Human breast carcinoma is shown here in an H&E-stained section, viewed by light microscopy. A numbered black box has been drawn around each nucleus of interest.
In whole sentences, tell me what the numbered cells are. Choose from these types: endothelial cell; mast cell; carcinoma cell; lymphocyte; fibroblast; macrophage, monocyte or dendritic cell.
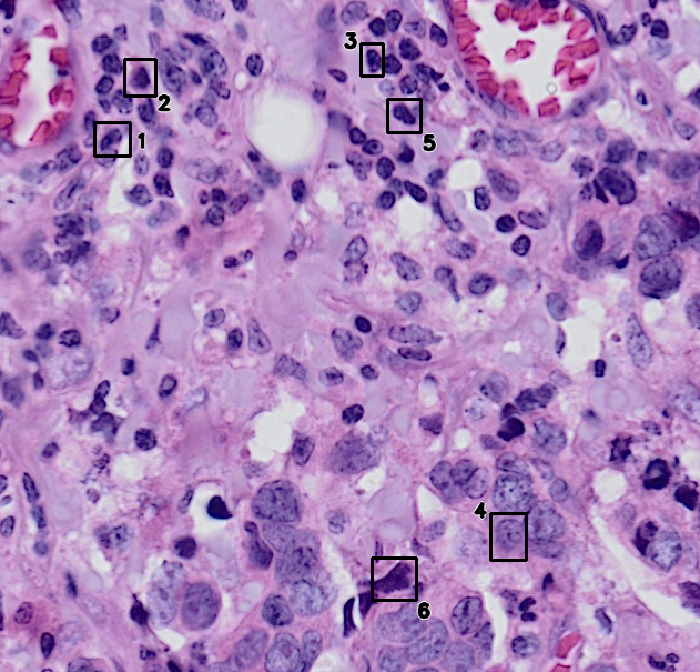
Cells 1, 2, 3 and 5 are lymphocytes. Cells 4 and 6 are carcinoma cells.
